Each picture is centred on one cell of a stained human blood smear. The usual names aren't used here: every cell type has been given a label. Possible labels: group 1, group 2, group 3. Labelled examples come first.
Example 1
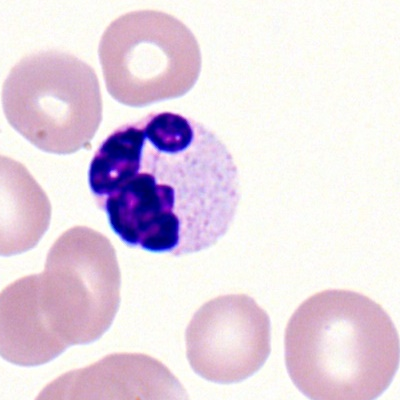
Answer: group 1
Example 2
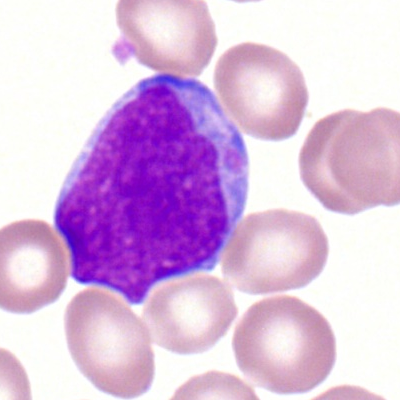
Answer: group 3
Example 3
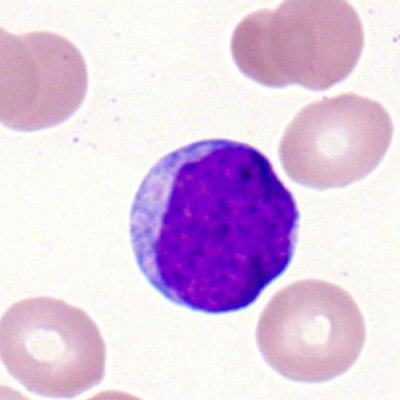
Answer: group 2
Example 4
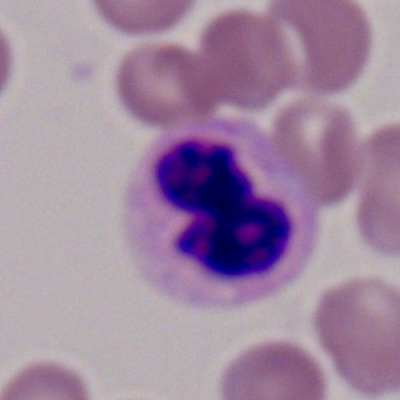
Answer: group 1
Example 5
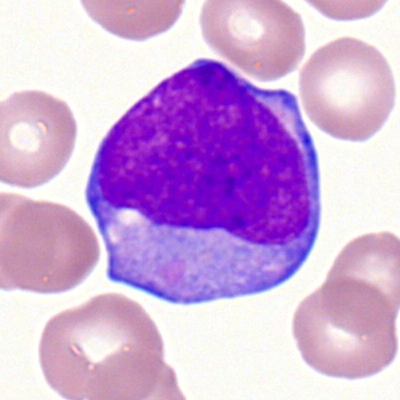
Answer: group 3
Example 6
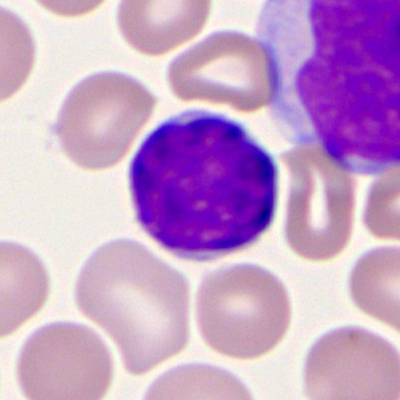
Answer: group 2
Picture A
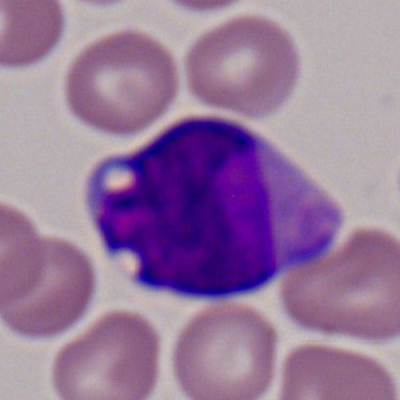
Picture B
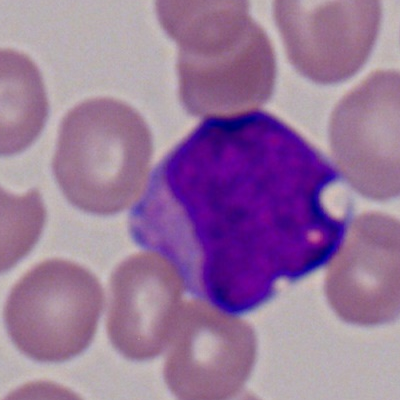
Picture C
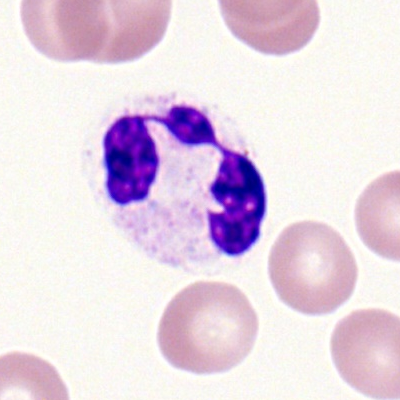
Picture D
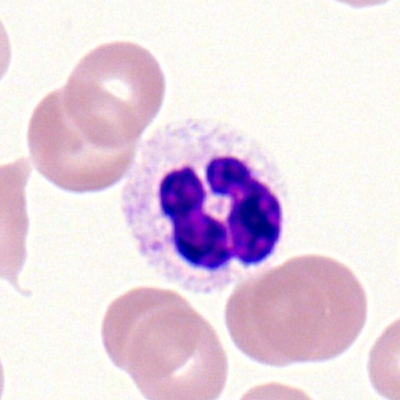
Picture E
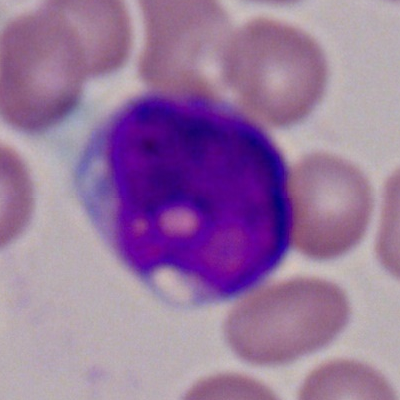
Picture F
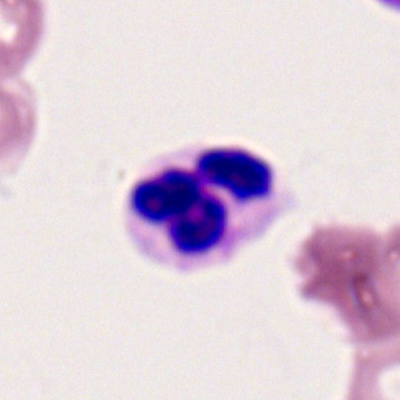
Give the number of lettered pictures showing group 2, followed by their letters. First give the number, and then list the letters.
0, none of them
